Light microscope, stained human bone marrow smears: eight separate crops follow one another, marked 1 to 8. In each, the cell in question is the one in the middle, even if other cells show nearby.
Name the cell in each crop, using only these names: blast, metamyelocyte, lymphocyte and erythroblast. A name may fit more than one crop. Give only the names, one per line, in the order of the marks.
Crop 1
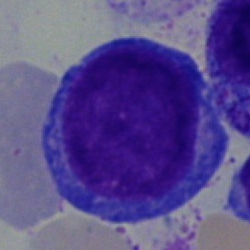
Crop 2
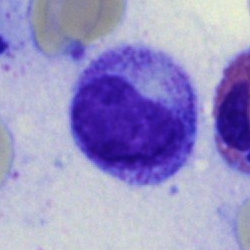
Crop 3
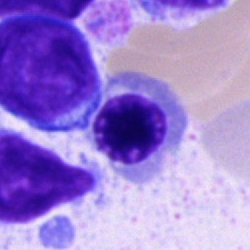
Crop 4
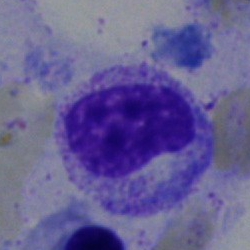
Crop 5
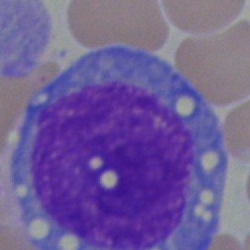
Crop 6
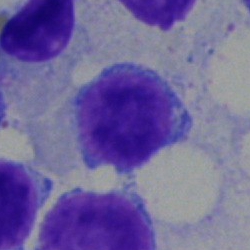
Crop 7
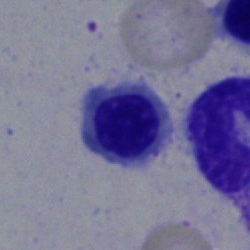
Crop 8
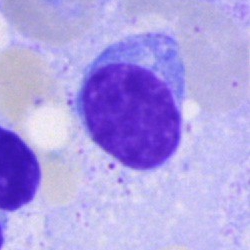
blast
metamyelocyte
erythroblast
metamyelocyte
blast
lymphocyte
erythroblast
lymphocyte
